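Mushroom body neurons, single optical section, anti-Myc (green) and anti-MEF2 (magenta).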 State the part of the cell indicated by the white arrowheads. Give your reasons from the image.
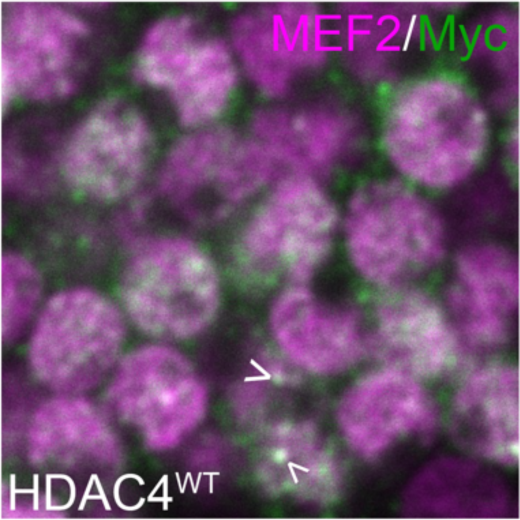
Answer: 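Nuclear condensates. The arrowheads point to small bright white puncta.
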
